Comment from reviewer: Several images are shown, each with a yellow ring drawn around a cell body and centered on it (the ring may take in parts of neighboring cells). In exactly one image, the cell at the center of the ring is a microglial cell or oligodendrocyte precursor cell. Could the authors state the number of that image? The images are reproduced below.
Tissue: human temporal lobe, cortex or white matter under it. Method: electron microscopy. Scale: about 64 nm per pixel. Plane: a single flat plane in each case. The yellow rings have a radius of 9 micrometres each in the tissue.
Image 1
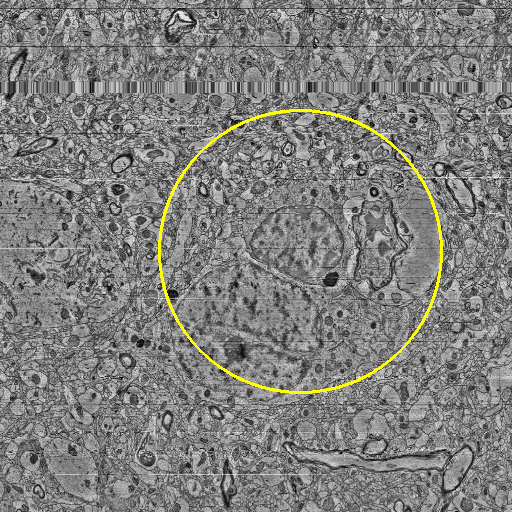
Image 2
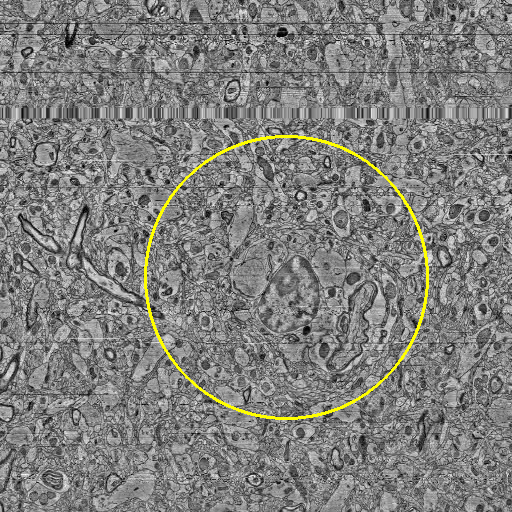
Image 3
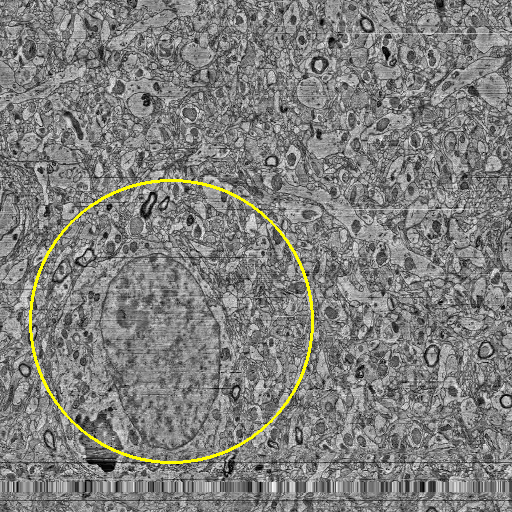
2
